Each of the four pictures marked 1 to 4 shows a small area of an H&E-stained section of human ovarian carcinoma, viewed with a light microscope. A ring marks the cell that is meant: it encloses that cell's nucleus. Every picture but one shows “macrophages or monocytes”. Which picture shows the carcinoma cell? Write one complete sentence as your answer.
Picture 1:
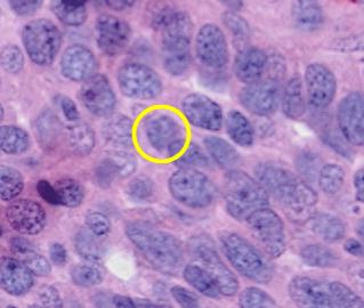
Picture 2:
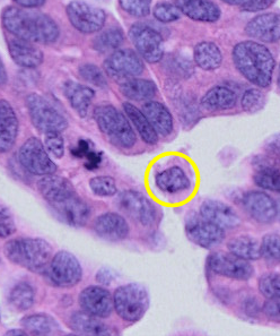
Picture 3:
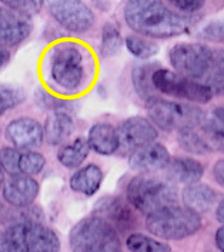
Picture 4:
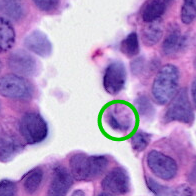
Picture 1 is the one that shows the carcinoma cell.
